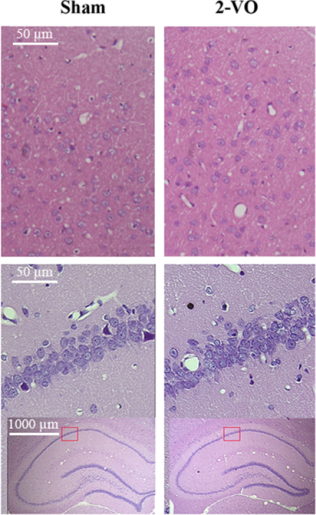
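The upper images show cerebral cortex, where neurons with round purple nuclei lie scattered through a pale pink neuropil, with a few small vessel profiles. Below, the hippocampus shows a dense band of closely packed neuronal cell bodies with purple nuclei. The lowest low-power views show this band curving as a long arc, with a second C-shaped band tucked beneath it.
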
